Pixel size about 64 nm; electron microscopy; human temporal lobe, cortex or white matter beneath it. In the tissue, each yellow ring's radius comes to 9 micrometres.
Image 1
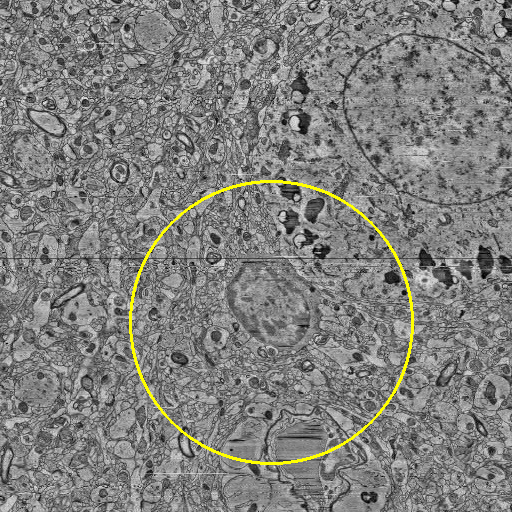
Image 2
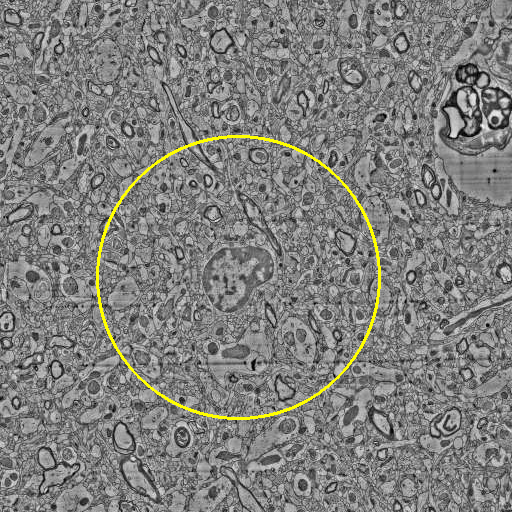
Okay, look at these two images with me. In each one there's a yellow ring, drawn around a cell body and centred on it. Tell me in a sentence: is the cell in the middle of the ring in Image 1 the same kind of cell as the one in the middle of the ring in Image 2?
No, they're two kinds of cell.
